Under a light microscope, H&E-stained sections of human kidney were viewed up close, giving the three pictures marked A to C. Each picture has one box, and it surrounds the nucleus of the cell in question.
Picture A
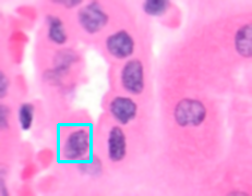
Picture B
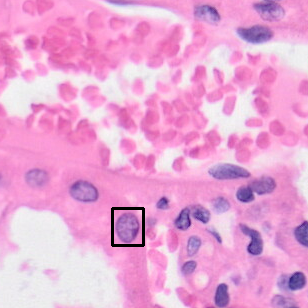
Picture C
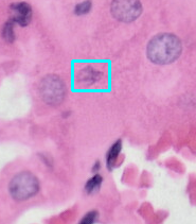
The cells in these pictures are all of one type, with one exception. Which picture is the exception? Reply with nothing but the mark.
A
